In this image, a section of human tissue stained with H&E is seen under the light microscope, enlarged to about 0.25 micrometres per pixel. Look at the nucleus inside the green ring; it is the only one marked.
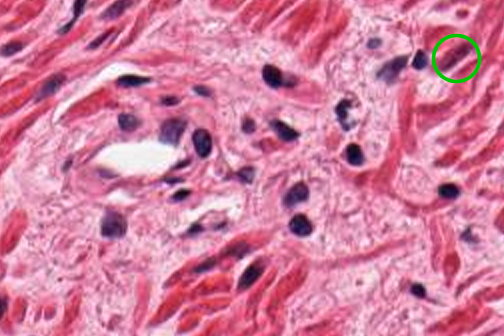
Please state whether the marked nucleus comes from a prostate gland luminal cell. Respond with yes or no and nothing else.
no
